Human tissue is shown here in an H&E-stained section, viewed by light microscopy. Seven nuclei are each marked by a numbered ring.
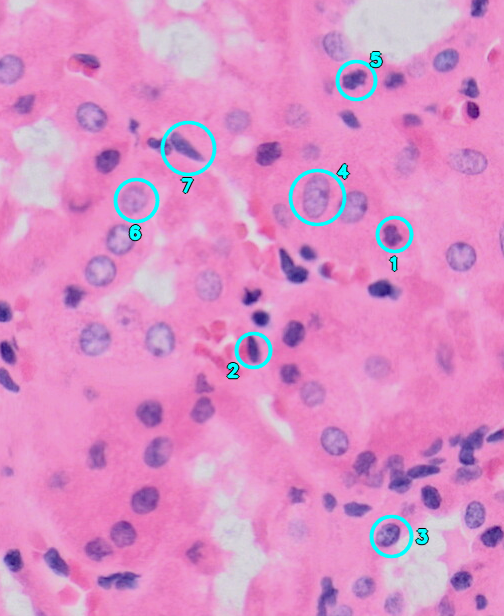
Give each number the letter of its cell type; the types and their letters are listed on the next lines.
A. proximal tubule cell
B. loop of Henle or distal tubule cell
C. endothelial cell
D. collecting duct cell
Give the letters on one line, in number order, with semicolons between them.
A; C; B; A; B; A; C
